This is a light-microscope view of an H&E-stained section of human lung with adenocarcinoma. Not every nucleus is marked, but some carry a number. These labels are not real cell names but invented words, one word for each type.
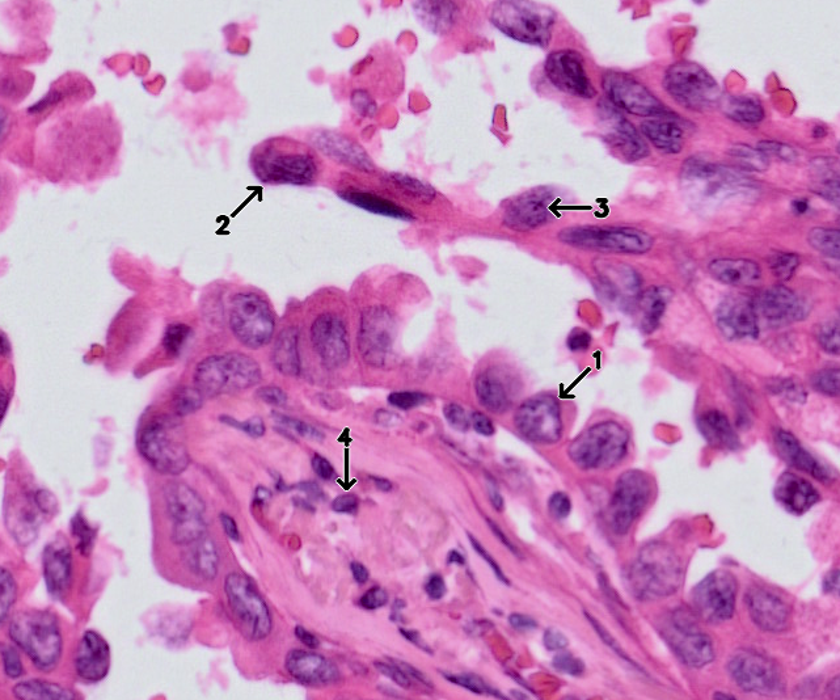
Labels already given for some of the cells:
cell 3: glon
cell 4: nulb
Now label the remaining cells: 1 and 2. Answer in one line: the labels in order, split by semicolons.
glon; glon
